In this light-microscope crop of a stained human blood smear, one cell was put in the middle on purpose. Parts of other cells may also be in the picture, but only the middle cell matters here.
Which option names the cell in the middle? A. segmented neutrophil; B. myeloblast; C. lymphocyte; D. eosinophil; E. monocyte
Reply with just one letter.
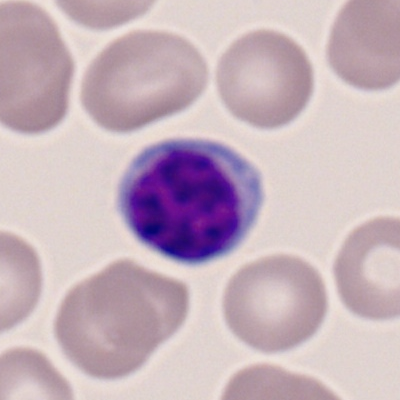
C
